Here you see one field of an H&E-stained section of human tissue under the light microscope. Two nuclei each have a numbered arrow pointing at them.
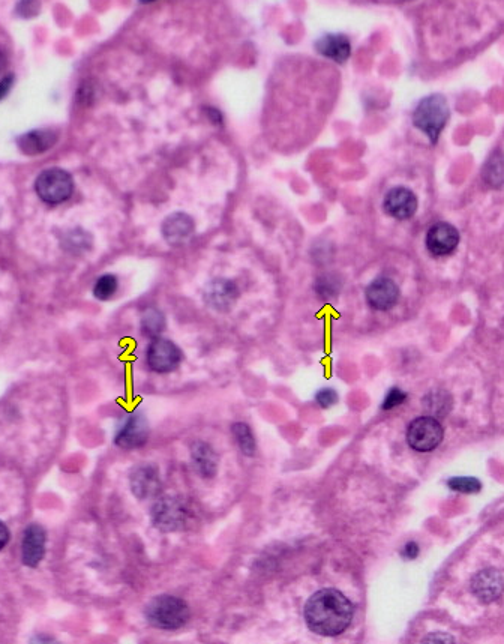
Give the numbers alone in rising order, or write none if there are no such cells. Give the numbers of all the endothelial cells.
2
